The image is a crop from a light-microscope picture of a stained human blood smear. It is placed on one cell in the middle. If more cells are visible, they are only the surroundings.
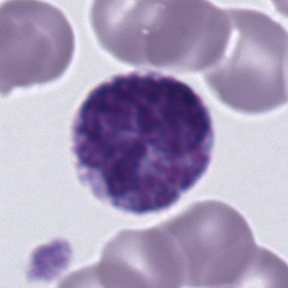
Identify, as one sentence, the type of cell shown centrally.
Centred in the crop is a basophil.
